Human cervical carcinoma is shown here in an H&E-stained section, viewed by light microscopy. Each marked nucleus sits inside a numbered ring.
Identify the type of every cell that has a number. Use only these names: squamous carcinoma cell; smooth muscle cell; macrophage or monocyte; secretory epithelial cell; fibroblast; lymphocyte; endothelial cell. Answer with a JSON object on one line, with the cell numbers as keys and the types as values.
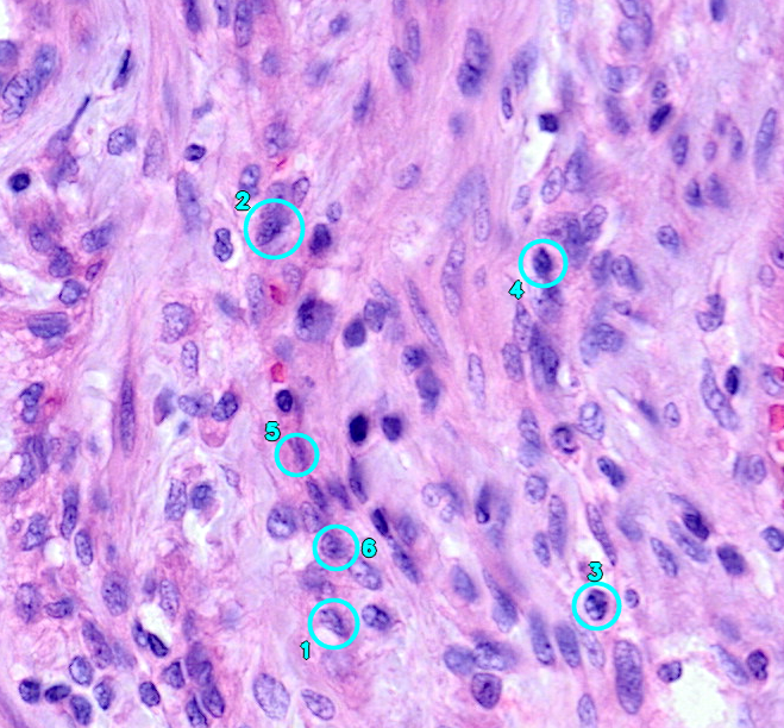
{"1": "endothelial cell", "2": "endothelial cell", "3": "lymphocyte", "4": "lymphocyte", "5": "endothelial cell", "6": "endothelial cell"}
